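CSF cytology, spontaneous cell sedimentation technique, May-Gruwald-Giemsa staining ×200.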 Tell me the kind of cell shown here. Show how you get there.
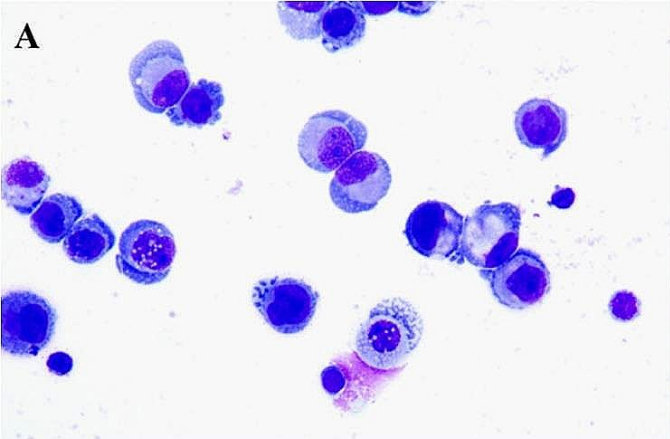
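Large cells with large, dark nuclei and a rim of blue cytoplasm. Cells are much larger than the small round lymphocyte-sized cells nearby.
Conclusion: tumor cells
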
